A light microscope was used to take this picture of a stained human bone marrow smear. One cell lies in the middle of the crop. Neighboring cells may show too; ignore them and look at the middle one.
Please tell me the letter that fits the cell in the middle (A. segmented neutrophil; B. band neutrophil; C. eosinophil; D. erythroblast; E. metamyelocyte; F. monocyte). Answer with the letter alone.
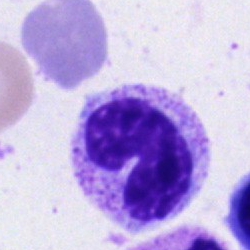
E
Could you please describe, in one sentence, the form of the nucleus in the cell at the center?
If you check the nucleus, you will find one compact mass, round, oval or kidney-shaped.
